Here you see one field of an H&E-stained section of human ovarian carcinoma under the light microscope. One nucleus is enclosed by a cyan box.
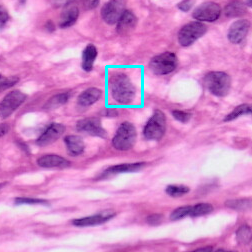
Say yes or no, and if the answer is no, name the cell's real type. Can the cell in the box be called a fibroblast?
No, it is a carcinoma cell.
